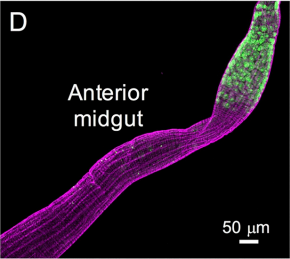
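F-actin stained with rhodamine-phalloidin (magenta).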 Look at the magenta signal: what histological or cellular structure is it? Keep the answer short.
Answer: Muscles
